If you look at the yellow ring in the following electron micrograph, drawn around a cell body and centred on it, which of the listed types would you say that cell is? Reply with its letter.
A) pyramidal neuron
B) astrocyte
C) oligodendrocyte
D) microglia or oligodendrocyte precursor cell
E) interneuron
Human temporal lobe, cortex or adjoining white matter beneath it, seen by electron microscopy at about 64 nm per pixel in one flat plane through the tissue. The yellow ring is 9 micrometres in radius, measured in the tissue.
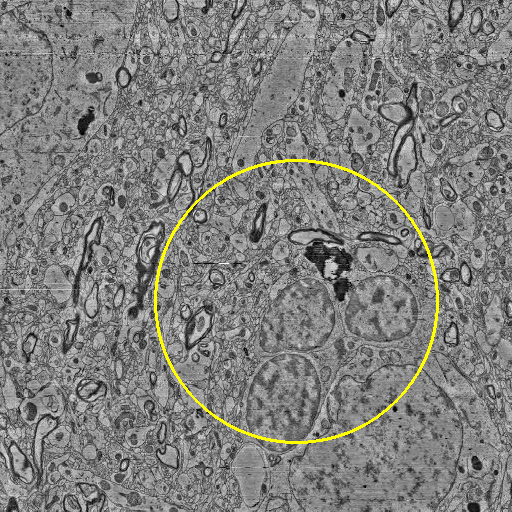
C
